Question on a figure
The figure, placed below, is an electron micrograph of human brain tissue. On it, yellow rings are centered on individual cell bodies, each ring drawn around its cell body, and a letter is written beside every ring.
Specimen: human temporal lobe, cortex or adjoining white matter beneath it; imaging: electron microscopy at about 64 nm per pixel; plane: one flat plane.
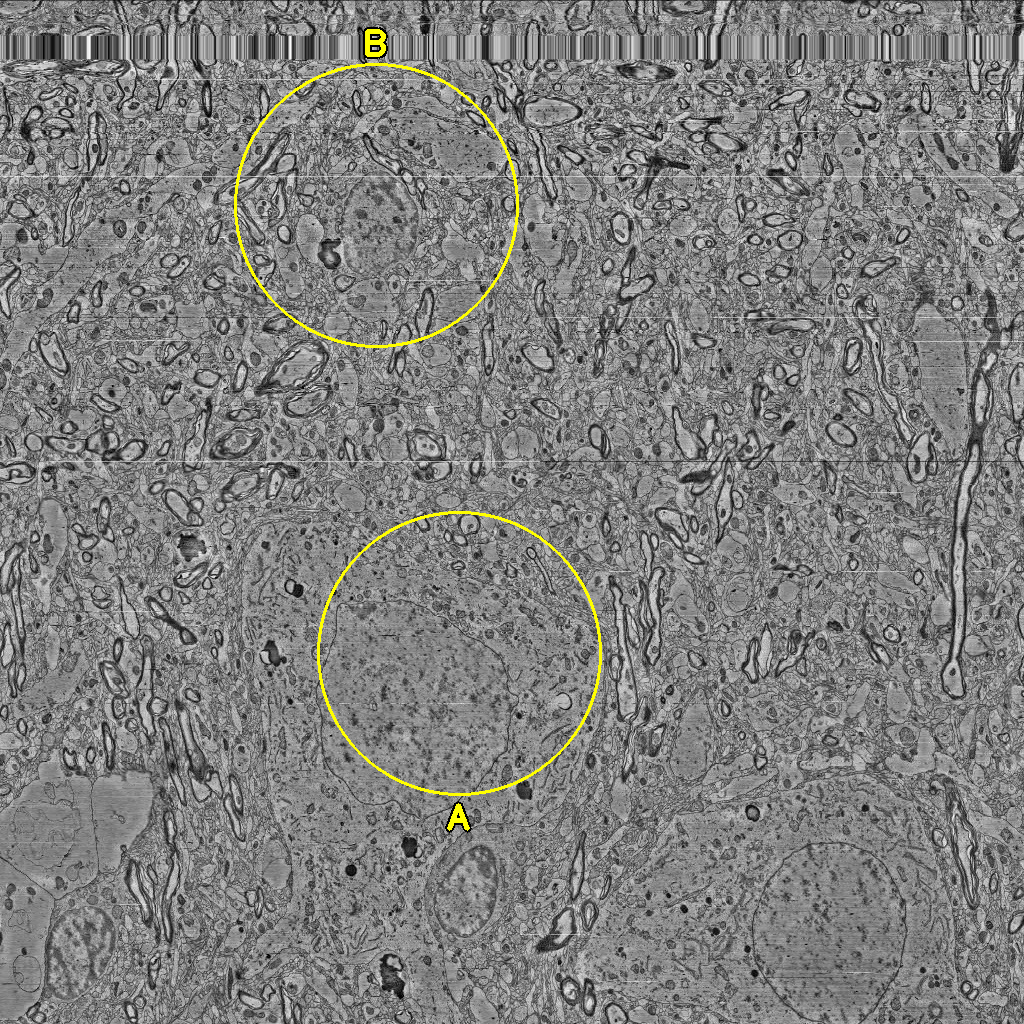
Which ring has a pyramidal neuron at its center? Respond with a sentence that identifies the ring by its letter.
The ring marked A has it at its center.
